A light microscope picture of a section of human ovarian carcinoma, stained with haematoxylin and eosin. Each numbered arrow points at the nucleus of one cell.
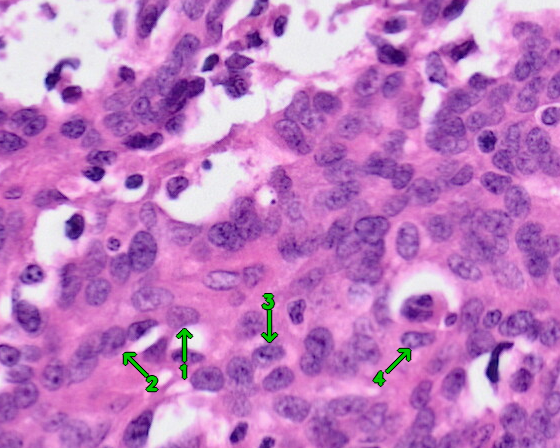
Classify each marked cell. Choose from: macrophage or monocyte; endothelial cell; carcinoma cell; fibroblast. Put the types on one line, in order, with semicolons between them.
carcinoma cell; carcinoma cell; macrophage or monocyte; macrophage or monocyte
